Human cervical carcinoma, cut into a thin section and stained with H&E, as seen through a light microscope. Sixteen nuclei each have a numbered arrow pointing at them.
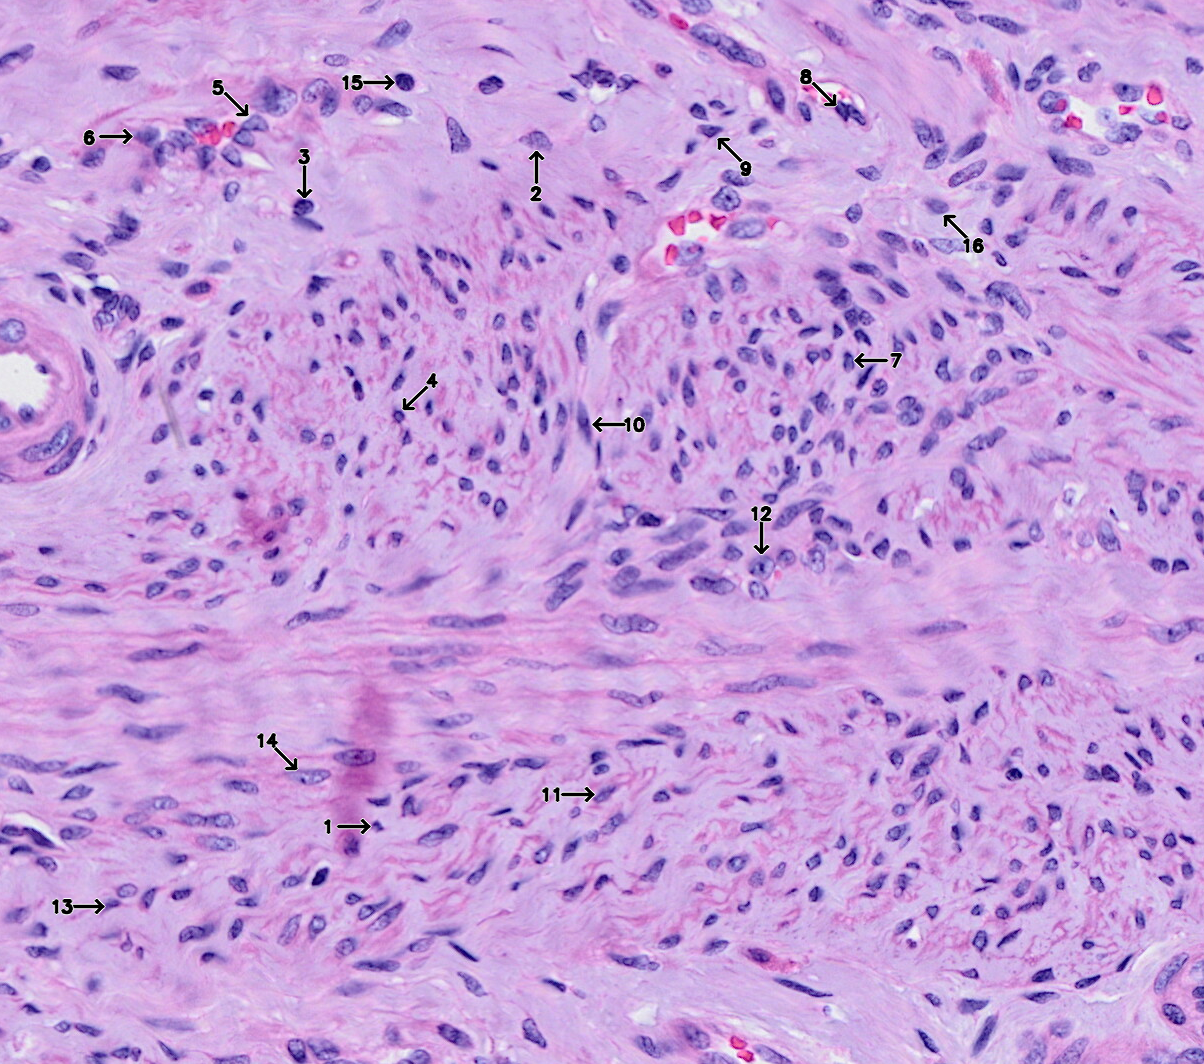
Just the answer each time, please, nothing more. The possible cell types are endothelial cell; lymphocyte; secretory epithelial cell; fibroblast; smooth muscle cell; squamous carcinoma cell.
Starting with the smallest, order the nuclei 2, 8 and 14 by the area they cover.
8, 2, 14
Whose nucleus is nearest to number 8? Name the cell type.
endothelial cell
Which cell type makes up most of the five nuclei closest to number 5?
endothelial cell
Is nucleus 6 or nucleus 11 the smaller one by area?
11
